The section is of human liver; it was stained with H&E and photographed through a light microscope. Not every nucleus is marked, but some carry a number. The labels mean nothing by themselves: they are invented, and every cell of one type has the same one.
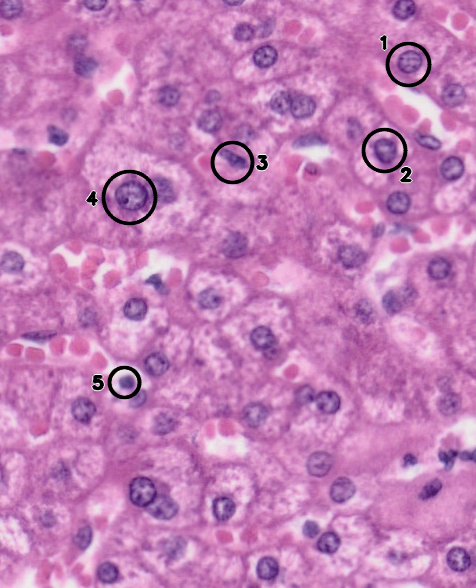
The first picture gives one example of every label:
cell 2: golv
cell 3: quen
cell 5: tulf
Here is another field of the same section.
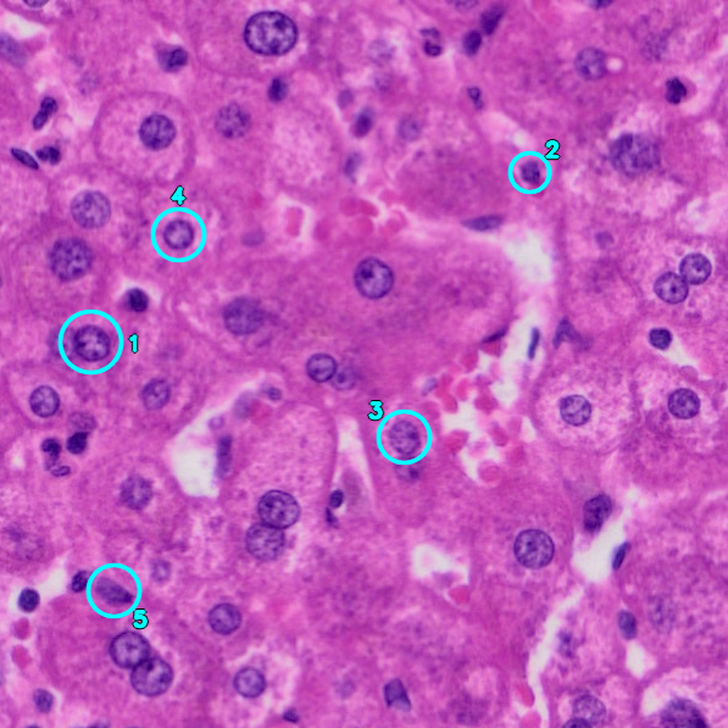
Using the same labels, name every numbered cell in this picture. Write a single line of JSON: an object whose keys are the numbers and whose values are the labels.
{"1": "golv", "2": "tulf", "3": "golv", "4": "golv", "5": "quen"}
